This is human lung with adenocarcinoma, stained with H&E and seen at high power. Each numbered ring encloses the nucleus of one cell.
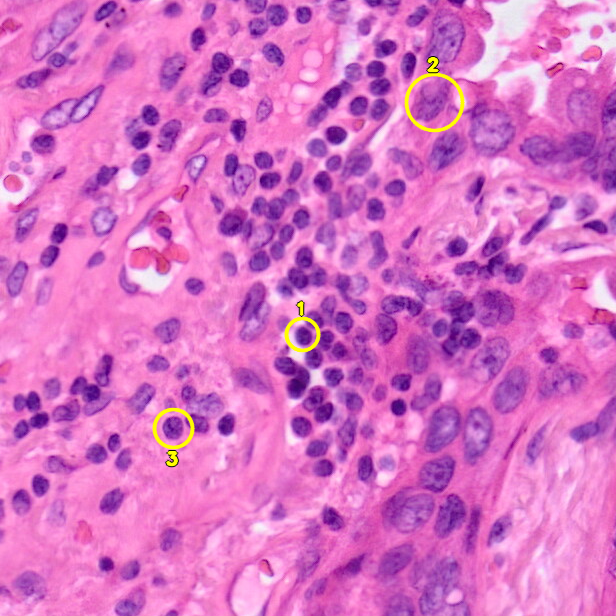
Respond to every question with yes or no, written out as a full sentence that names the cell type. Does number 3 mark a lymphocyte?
Yes, as for number 3, the cell is a lymphocyte.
